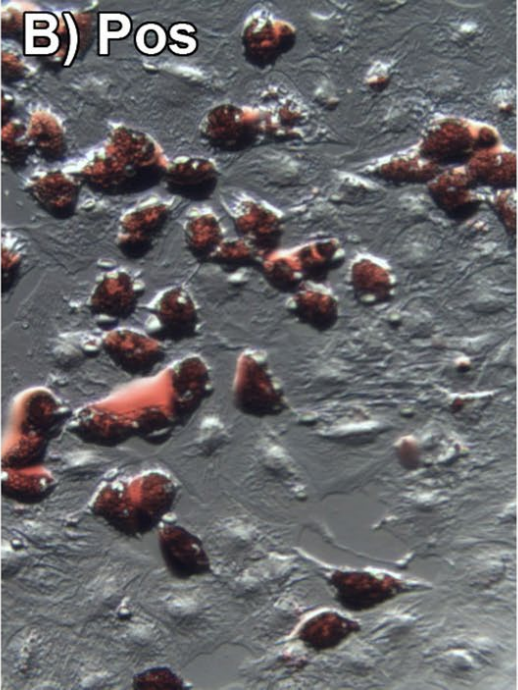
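These are cultured cells in which many have become mature adipocytes: rounded cells packed with red-stained granular lipid droplets. They are scattered singly and in small clusters over a background layer of flat, unstained, spindle-shaped cells.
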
